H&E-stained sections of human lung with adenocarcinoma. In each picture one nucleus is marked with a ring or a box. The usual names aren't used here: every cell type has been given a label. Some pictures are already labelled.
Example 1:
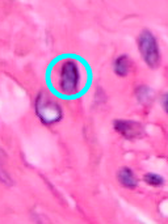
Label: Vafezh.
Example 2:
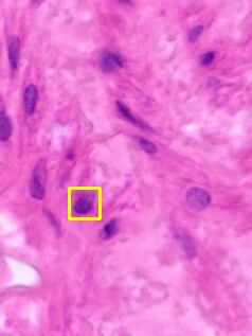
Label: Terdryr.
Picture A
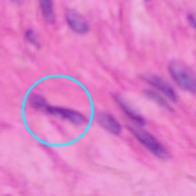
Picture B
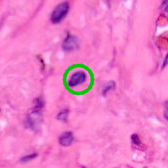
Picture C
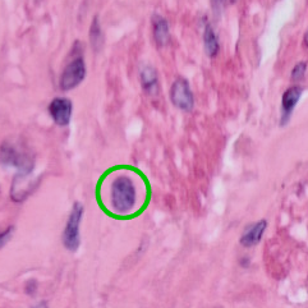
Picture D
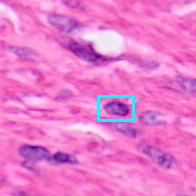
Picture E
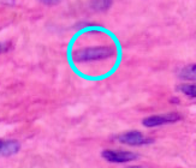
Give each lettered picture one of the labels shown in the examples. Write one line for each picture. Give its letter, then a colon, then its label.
A: Terdryr.
B: Vafezh.
C: Vafezh.
D: Vafezh.
E: Terdryr.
